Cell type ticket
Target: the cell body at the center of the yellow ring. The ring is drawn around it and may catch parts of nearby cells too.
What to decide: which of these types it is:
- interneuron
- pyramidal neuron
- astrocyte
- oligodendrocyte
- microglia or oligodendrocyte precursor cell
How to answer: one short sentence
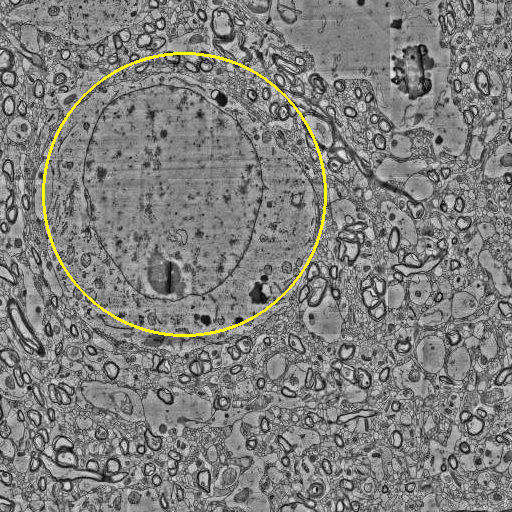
The cell at the center of the ring is a pyramidal neuron.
